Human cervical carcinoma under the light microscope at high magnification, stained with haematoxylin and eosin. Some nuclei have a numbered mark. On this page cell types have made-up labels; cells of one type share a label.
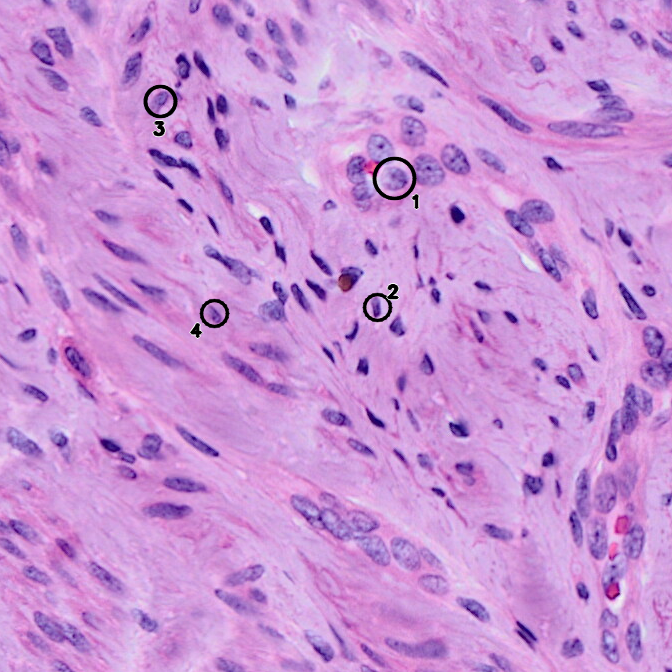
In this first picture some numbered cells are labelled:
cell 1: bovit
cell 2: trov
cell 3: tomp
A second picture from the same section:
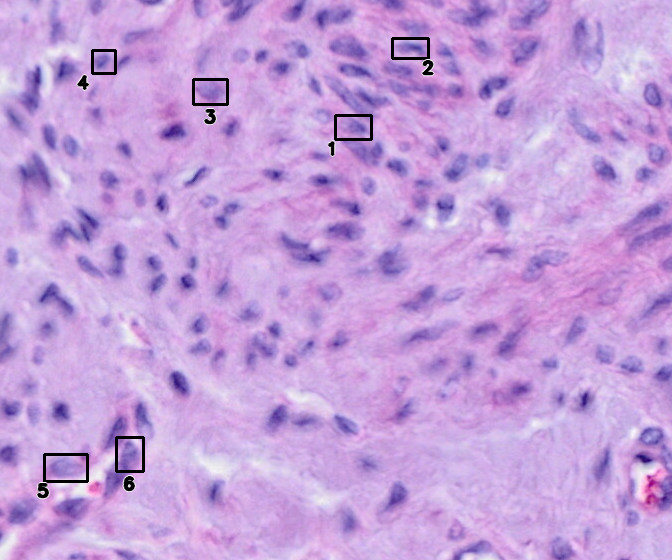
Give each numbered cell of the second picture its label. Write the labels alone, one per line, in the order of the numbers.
tomp
tomp
tomp
trov
bovit
bovit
